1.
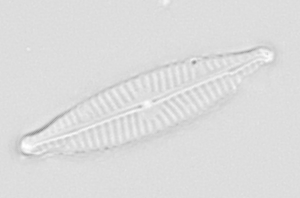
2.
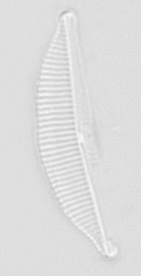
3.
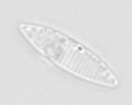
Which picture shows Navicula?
Picture 1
